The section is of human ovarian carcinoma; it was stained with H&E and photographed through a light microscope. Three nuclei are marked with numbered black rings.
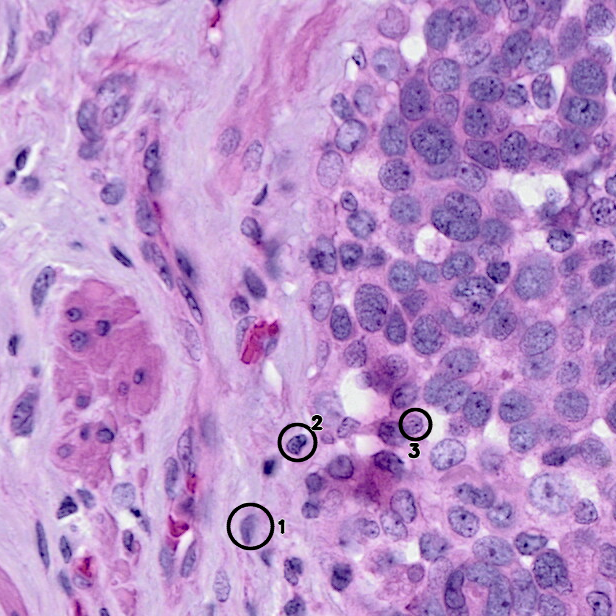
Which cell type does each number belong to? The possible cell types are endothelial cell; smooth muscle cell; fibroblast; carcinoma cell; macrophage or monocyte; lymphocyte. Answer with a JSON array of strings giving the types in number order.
["fibroblast", "lymphocyte", "macrophage or monocyte"]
